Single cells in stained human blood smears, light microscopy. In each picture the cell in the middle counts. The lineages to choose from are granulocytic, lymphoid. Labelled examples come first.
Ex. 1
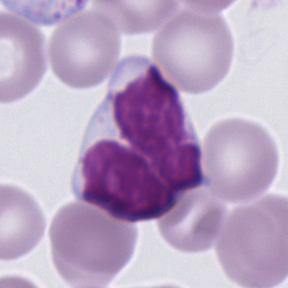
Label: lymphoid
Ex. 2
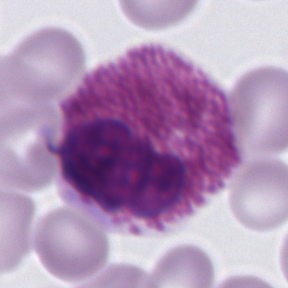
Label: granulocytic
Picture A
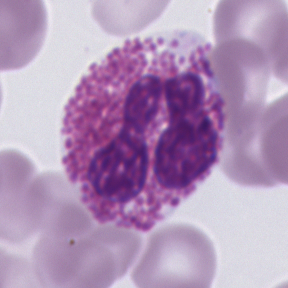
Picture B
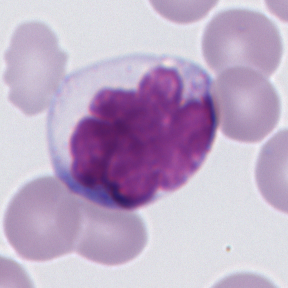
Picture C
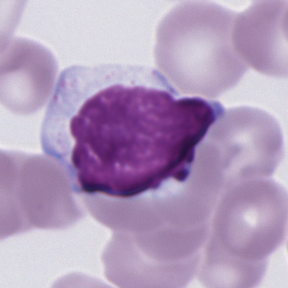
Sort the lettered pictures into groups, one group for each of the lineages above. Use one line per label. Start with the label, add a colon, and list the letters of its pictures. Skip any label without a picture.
granulocytic: A
lymphoid: B, C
